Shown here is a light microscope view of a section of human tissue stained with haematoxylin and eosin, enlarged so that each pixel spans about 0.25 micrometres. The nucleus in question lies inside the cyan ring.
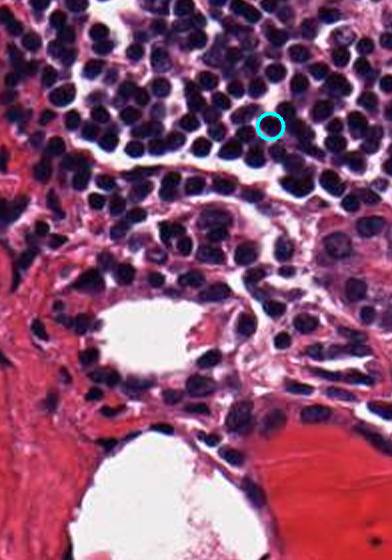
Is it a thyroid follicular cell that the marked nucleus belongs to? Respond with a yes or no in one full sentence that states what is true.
No, the marked nucleus is carried by a supporting cell rather than by a thyroid follicular cell.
